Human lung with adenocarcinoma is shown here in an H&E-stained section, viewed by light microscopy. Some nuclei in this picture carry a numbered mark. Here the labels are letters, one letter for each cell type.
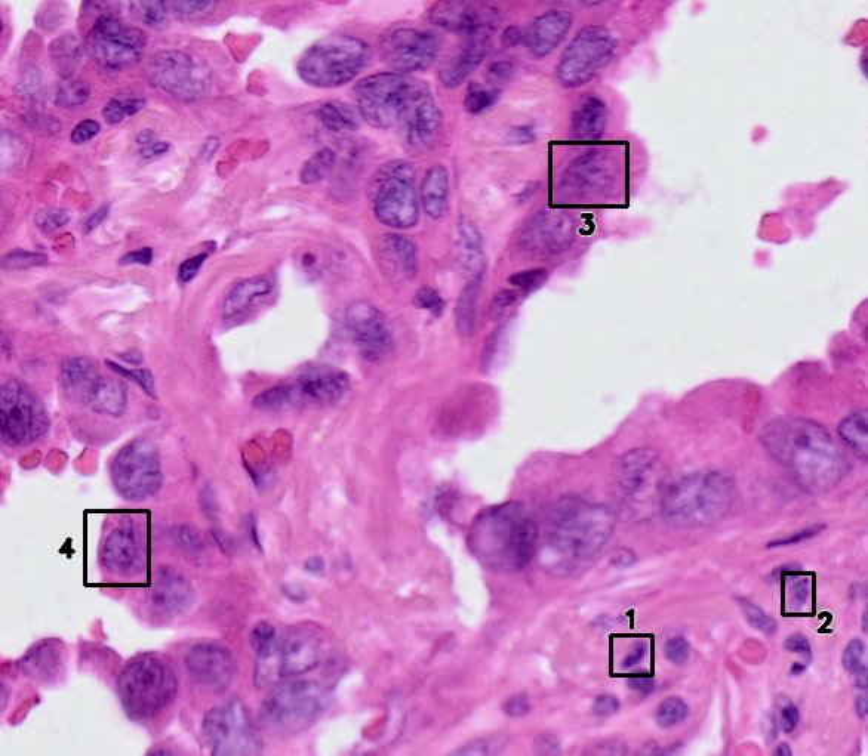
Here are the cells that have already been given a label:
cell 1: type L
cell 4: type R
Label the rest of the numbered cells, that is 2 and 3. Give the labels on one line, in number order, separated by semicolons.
type L; type R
